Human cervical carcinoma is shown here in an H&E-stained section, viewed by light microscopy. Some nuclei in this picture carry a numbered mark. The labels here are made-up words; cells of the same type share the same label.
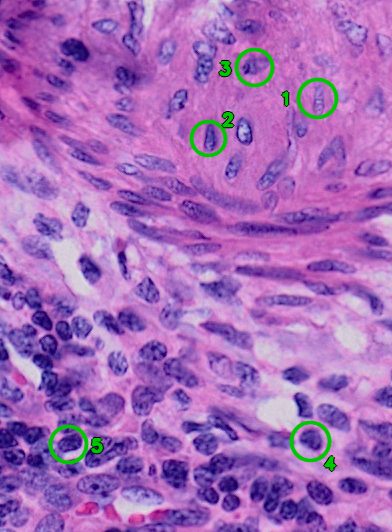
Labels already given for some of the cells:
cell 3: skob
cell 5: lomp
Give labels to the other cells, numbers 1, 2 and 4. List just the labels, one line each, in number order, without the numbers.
skob
skob
lomp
